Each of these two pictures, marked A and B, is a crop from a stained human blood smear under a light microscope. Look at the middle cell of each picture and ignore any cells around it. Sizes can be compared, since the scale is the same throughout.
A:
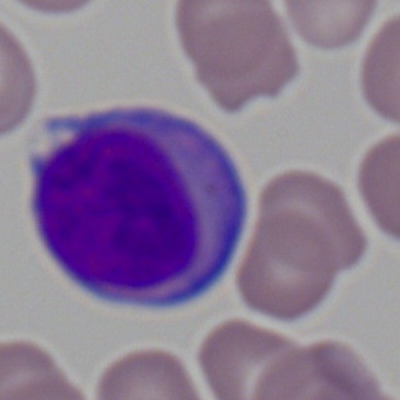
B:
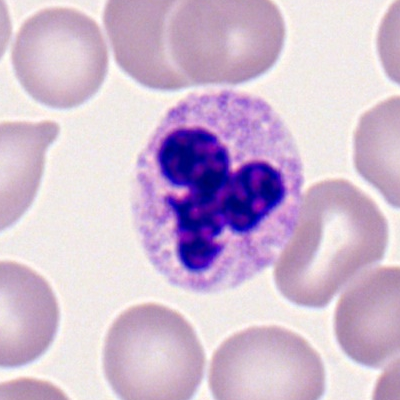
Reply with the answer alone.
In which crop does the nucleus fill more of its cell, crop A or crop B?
A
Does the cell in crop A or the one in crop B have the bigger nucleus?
A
